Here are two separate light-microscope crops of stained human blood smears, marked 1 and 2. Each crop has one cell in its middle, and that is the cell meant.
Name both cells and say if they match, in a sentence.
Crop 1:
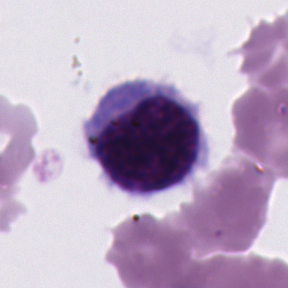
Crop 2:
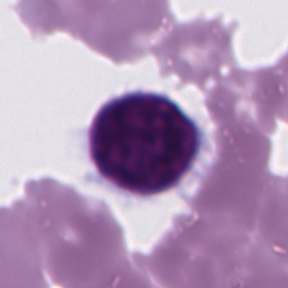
Yes, with regard to both crops, the central cells are hairy cells.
